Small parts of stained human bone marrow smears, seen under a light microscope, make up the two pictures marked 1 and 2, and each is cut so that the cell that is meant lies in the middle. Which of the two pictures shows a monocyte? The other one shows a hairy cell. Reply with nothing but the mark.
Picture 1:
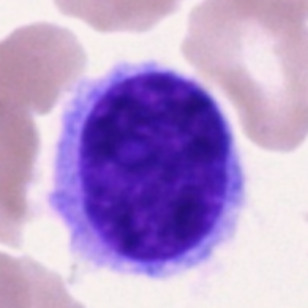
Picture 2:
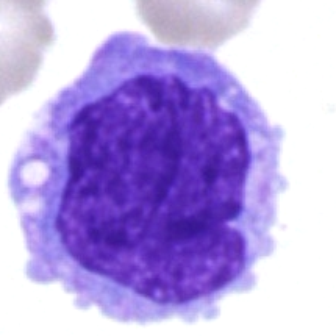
2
